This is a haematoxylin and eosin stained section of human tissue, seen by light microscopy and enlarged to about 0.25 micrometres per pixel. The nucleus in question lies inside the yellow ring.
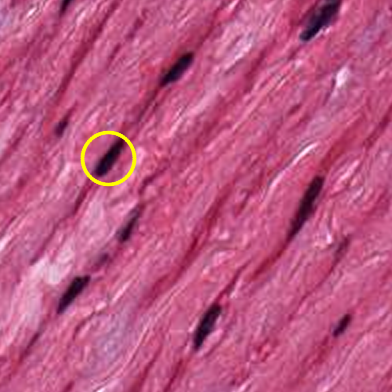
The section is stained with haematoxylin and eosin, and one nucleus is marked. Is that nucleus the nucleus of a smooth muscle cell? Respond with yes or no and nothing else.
yes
